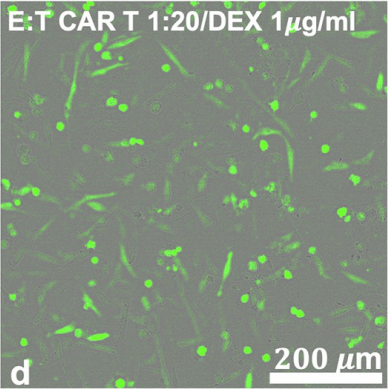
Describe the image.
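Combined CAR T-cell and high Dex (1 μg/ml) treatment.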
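Many are elongated, spindle-shaped cells with thin tapering extensions, and many others are small and round, scattered between them. No conspicuous clumps of fragmented green debris are seen; the cells appear mostly intact and evenly spread.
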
